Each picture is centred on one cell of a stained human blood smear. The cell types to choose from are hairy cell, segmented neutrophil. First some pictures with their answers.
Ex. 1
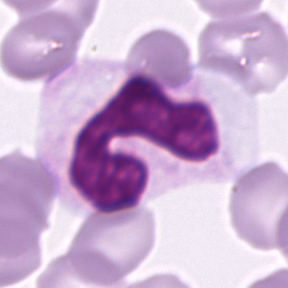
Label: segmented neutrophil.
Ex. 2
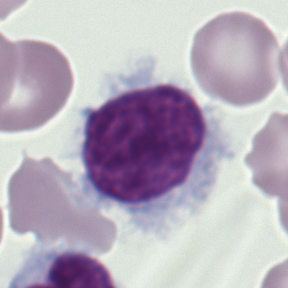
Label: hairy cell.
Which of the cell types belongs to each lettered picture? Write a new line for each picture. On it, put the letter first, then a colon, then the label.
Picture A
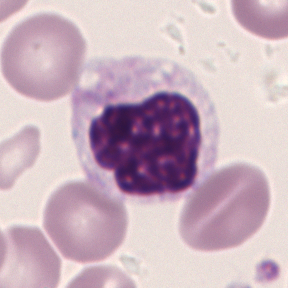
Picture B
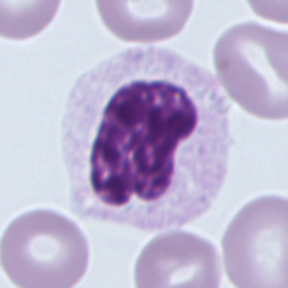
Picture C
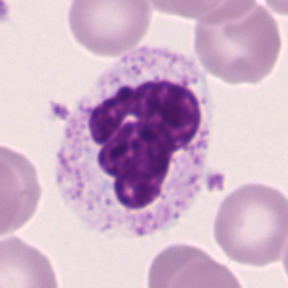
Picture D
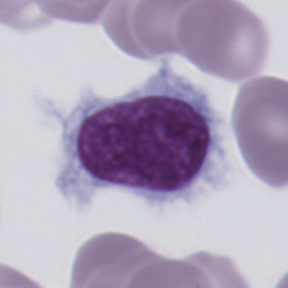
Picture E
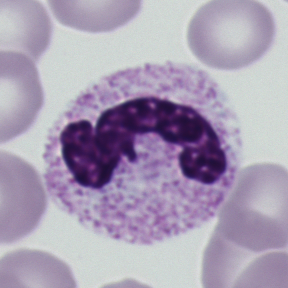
A: segmented neutrophil.
B: segmented neutrophil.
C: segmented neutrophil.
D: hairy cell.
E: segmented neutrophil.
